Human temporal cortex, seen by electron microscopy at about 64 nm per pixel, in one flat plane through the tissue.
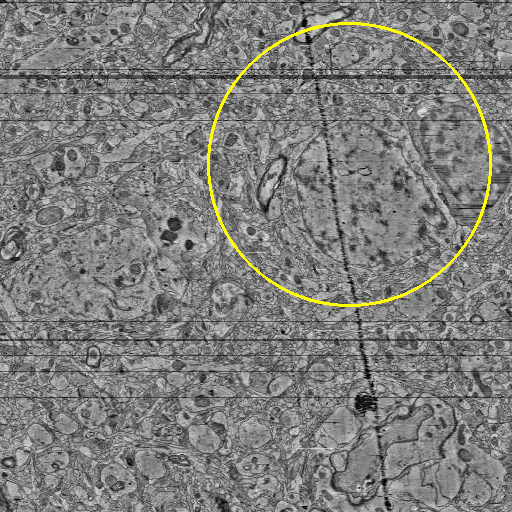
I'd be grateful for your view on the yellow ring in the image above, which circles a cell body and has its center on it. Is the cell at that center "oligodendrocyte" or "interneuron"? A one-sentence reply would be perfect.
The cell at the center of the yellow ring is an interneuron.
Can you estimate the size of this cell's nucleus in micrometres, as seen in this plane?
Approximately 10 x 9 micrometres in this plane.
